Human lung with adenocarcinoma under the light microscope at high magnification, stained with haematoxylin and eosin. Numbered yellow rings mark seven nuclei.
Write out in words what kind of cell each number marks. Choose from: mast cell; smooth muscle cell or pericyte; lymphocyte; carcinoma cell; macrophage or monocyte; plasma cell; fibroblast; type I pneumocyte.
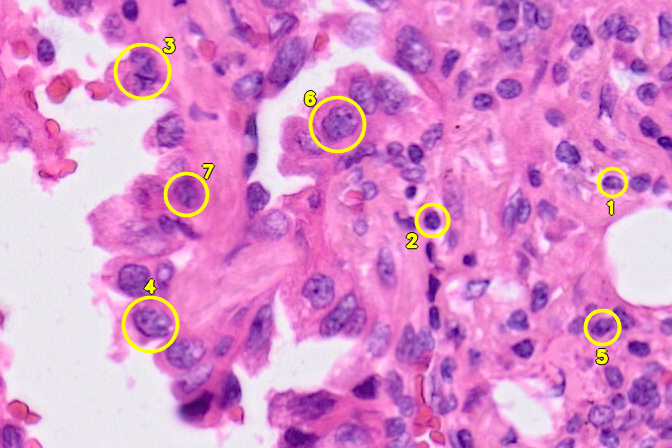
Cells 1, 2 and 5 are lymphocytes. Cells 3, 4, 6 and 7 are carcinoma cells.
